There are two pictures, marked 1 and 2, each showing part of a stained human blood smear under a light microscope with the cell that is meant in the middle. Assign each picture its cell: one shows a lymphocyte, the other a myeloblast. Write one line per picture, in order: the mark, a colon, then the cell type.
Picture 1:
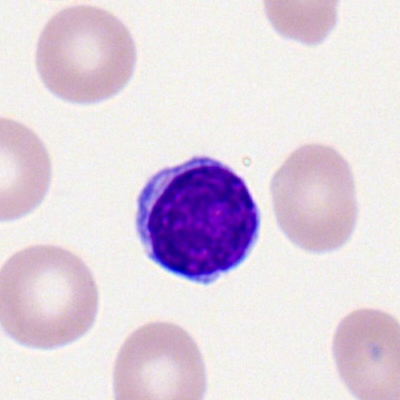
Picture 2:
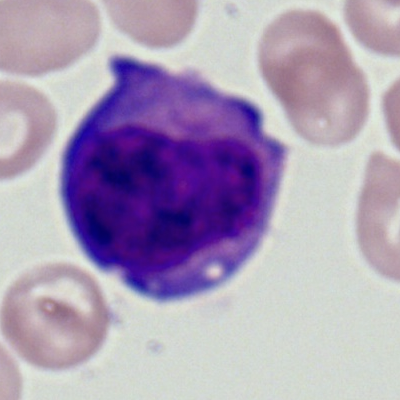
1: lymphocyte
2: myeloblast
